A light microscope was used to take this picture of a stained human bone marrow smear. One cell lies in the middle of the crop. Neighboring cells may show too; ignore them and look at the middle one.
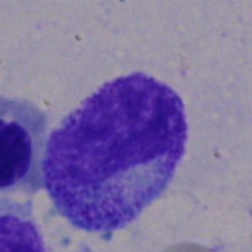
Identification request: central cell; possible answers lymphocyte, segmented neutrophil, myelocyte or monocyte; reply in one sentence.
The centrally positioned cell in the crop represents a myelocyte.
